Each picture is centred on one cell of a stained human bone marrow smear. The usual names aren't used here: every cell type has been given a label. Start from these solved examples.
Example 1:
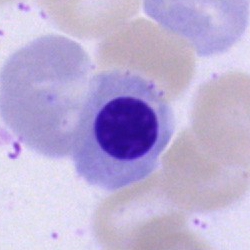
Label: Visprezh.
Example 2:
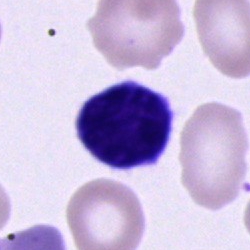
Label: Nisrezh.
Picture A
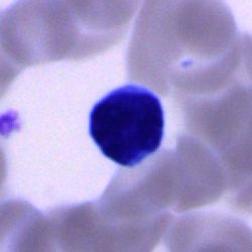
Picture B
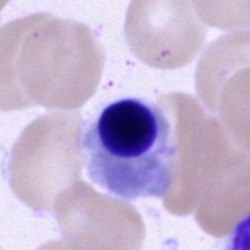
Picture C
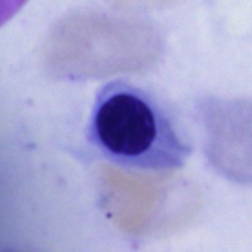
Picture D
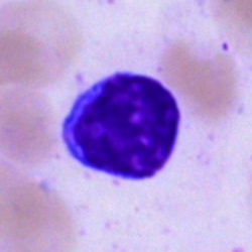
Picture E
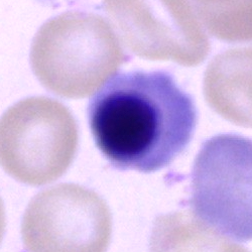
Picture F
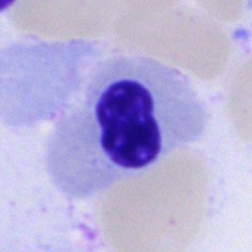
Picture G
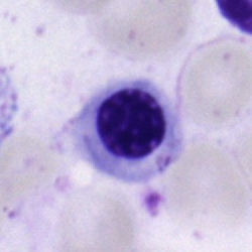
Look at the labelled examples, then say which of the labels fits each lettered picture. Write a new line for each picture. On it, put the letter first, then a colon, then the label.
A: Nisrezh.
B: Visprezh.
C: Visprezh.
D: Nisrezh.
E: Visprezh.
F: Visprezh.
G: Visprezh.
